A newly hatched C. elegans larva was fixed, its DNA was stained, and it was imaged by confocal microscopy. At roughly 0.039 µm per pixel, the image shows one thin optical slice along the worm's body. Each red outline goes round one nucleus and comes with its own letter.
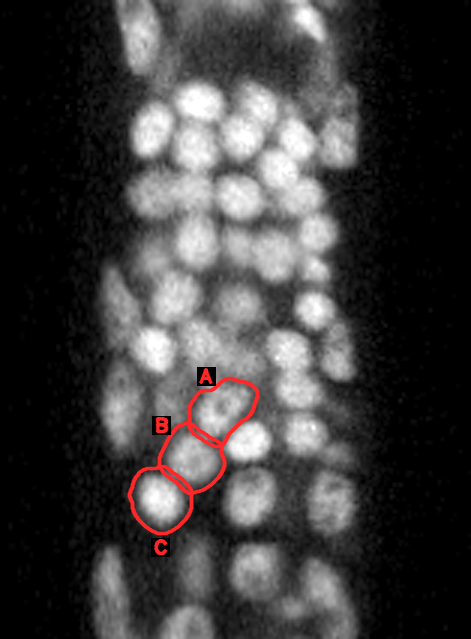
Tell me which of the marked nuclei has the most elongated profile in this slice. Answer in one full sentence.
A is the most elongated in this section.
